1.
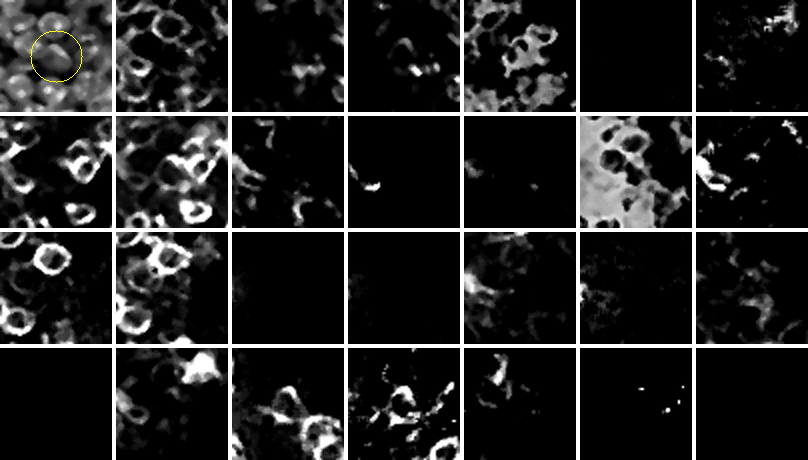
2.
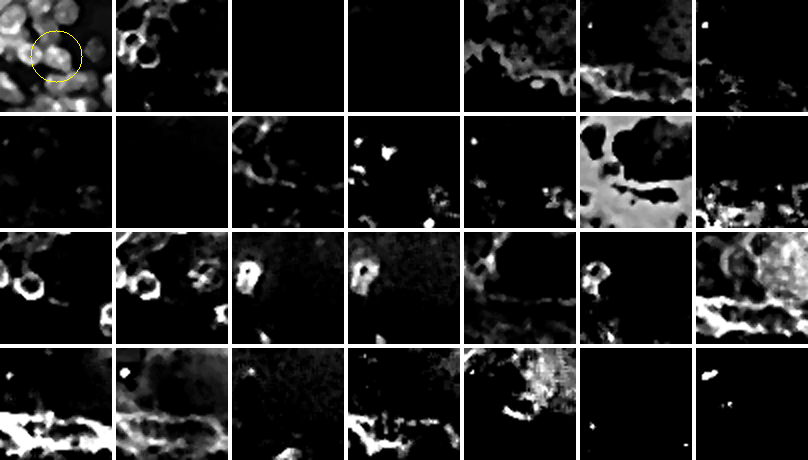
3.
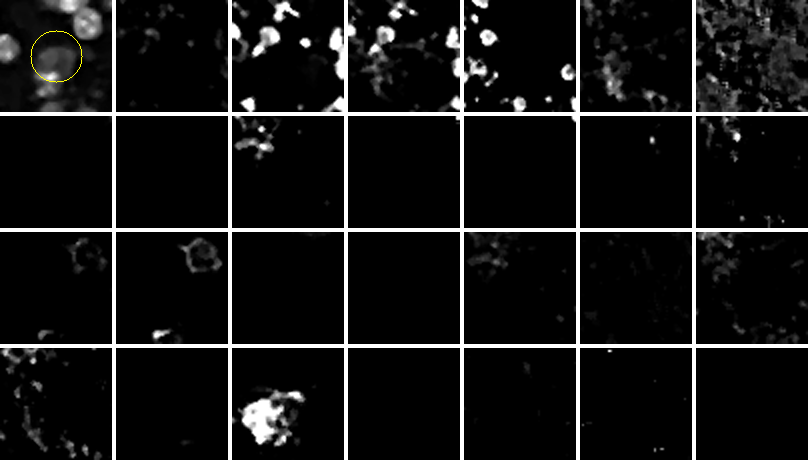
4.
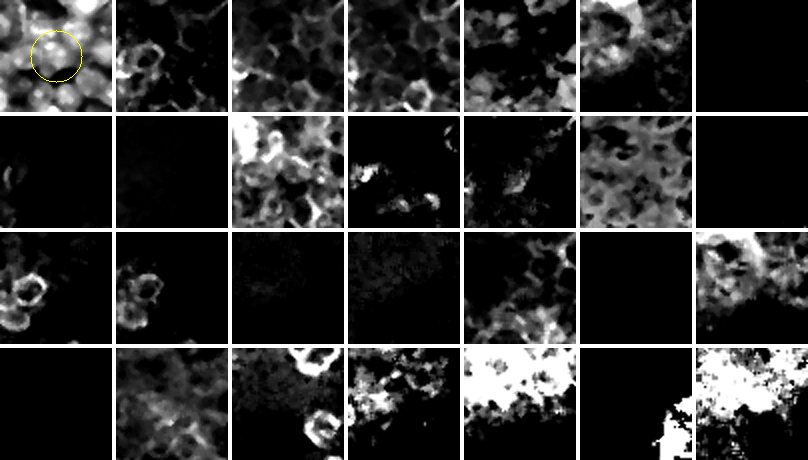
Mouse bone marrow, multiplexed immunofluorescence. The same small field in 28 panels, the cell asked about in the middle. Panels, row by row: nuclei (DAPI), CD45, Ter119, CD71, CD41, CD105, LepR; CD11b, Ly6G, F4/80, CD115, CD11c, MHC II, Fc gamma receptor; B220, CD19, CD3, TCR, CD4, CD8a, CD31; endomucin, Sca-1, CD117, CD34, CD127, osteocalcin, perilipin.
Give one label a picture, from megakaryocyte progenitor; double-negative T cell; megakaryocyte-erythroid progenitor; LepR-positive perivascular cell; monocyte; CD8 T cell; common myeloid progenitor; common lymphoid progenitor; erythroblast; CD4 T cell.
1: megakaryocyte progenitor
2: common lymphoid progenitor
3: megakaryocyte-erythroid progenitor
4: common lymphoid progenitor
